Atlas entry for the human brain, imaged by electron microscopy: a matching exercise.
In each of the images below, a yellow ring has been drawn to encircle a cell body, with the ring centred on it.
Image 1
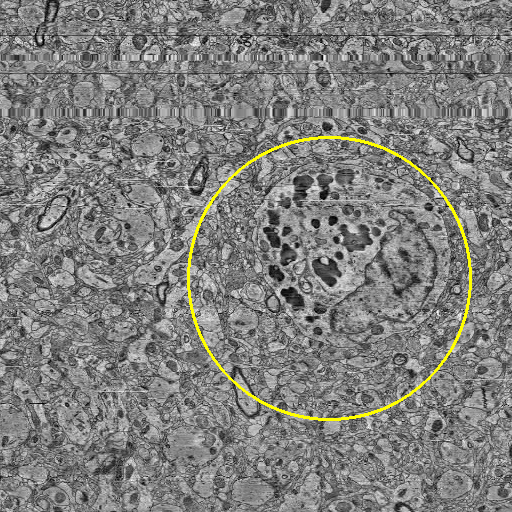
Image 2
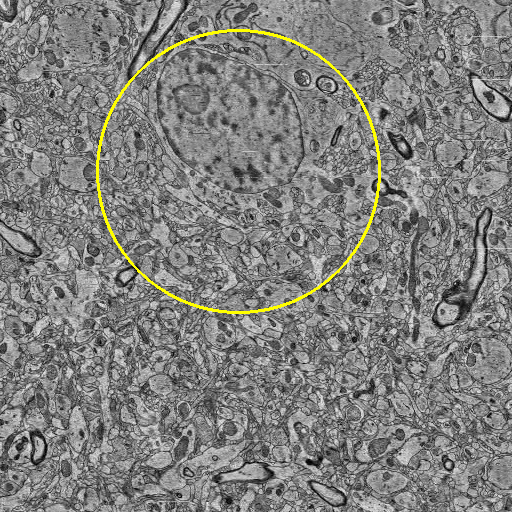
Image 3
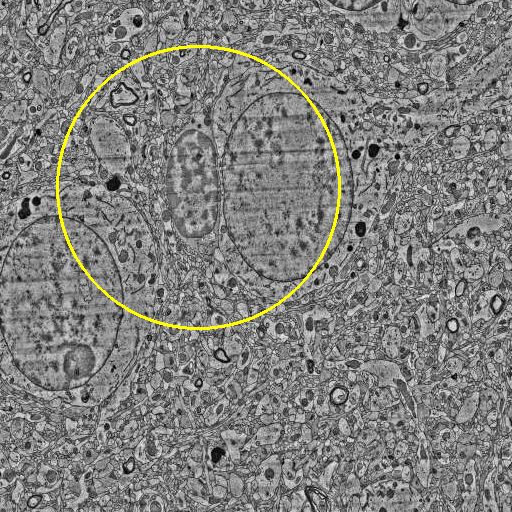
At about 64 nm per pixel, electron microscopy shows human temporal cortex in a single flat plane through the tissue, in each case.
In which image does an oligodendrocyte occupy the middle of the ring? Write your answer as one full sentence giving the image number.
In image 3, the ring is centred on the cell in question.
